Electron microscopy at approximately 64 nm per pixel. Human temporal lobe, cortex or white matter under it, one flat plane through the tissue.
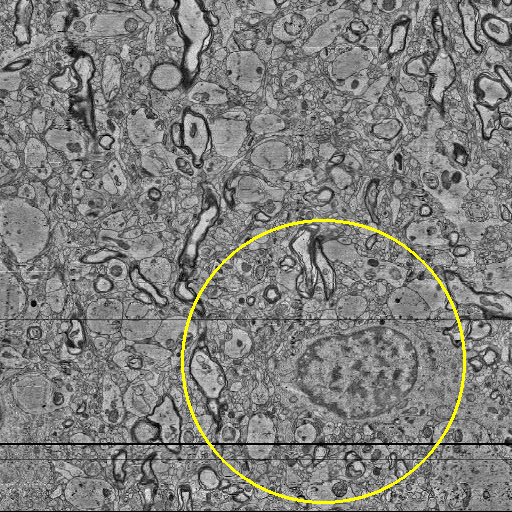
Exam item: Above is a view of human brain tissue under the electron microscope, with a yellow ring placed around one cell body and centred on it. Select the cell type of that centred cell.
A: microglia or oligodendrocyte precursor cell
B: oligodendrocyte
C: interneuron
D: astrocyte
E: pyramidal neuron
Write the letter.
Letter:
B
